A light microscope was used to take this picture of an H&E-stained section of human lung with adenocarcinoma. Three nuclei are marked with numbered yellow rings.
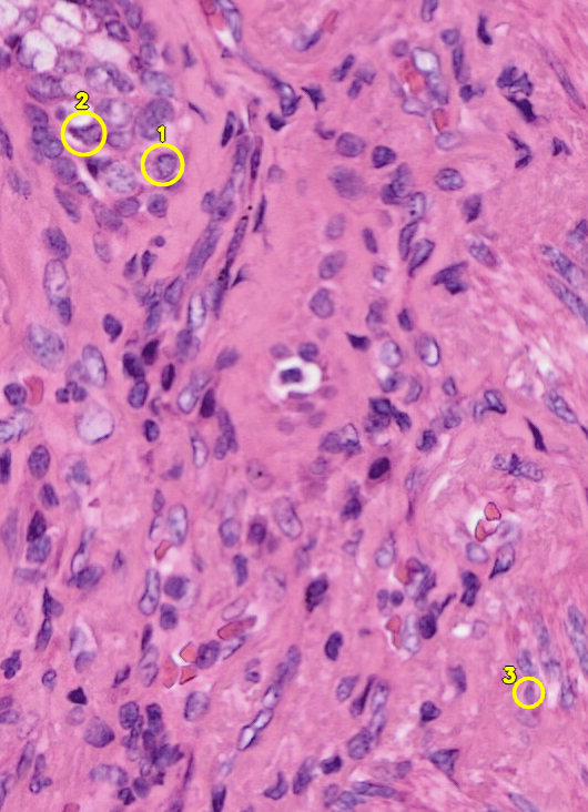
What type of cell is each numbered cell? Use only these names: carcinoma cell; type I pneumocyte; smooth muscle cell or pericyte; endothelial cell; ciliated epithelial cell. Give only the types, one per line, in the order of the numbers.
ciliated epithelial cell
ciliated epithelial cell
smooth muscle cell or pericyte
